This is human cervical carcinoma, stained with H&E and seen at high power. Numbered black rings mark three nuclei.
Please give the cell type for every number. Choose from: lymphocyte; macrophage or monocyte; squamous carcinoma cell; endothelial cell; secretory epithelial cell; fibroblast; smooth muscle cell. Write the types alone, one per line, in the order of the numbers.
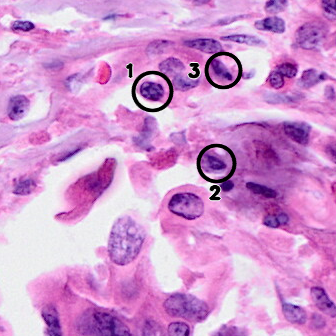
lymphocyte
macrophage or monocyte
macrophage or monocyte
